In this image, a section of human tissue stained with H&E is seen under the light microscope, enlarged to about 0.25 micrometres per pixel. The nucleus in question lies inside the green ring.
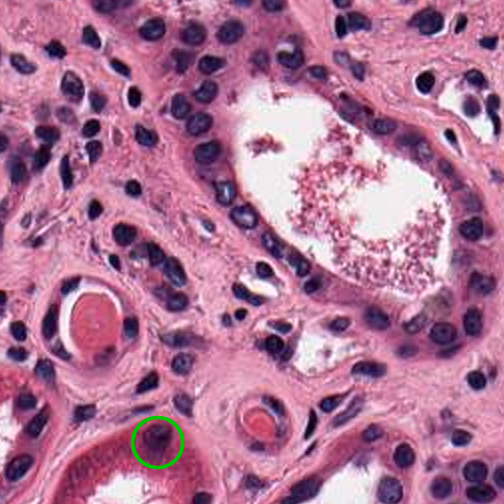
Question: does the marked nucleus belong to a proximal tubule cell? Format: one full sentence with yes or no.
Yes, the marked nucleus belongs to a proximal tubule cell.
